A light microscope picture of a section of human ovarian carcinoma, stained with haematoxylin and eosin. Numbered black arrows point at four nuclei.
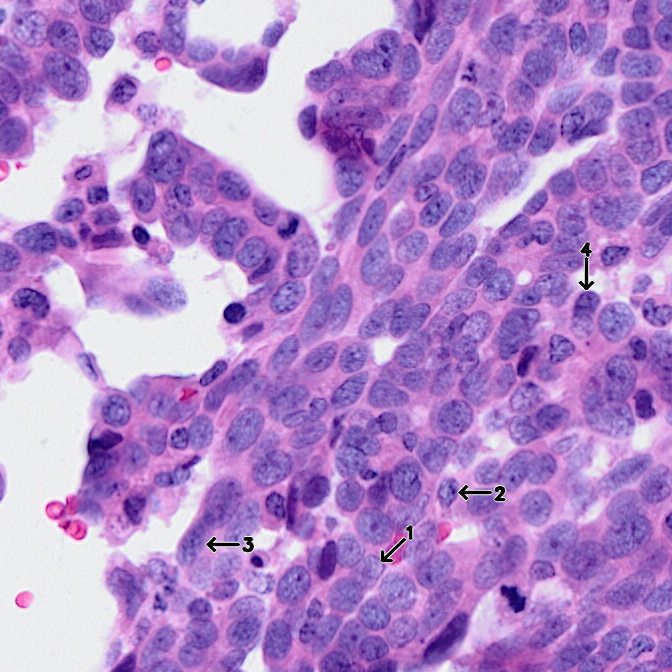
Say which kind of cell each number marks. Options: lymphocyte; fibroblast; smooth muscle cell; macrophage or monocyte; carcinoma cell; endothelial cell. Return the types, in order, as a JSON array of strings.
["carcinoma cell", "macrophage or monocyte", "carcinoma cell", "carcinoma cell"]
